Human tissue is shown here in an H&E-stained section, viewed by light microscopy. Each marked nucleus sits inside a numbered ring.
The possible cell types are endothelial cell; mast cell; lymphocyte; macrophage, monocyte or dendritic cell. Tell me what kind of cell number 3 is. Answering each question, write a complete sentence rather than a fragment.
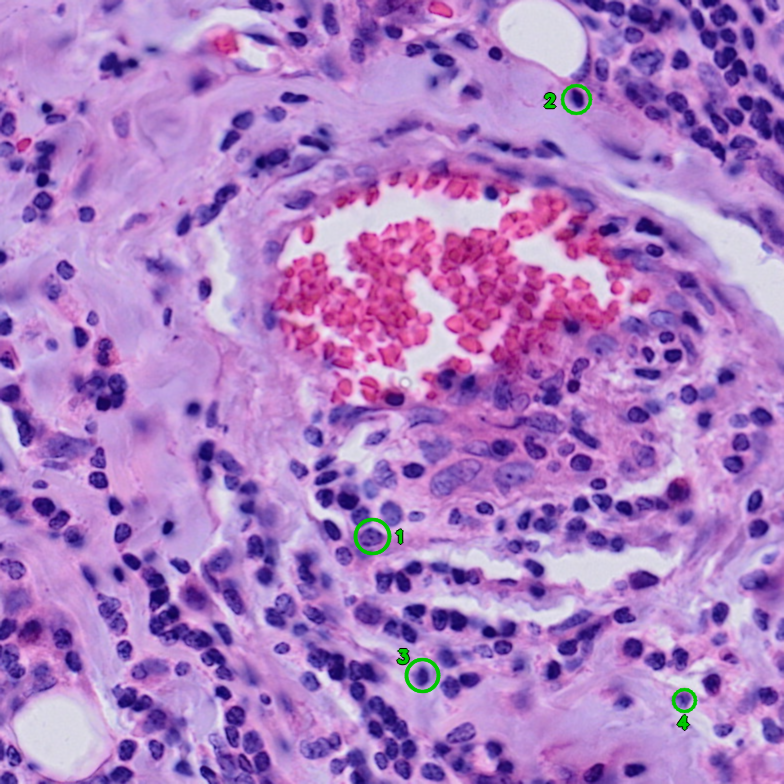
The numeral 3 marks a lymphocyte in this section.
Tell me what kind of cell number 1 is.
Cell 1 is classified as a lymphocyte.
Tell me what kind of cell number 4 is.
Nucleus 4 in this section belongs to a mast cell.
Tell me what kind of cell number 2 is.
Cell 2 is classified as a lymphocyte.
